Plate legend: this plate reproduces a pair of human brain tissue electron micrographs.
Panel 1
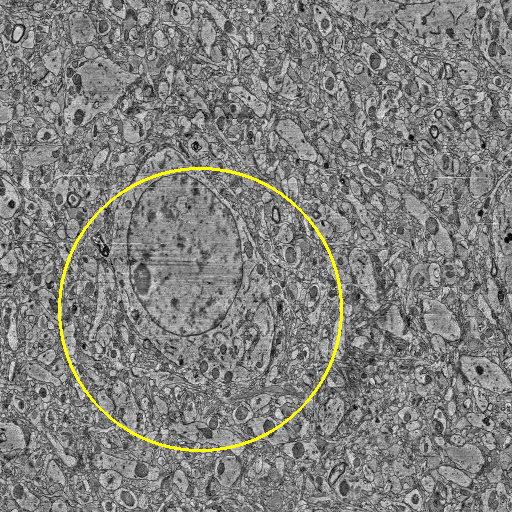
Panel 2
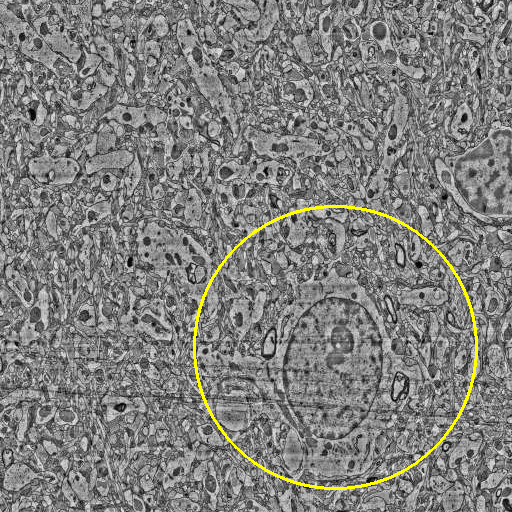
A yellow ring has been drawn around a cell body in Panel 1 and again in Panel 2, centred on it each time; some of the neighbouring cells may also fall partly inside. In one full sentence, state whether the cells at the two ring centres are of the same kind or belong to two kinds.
The ring-centred cells of Panel 1 and Panel 2 belong to two kinds.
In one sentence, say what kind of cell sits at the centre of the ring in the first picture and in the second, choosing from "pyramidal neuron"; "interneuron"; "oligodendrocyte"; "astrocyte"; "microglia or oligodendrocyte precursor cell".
The first picture's ringed cell is a pyramidal neuron, while the second picture's is an astrocyte.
